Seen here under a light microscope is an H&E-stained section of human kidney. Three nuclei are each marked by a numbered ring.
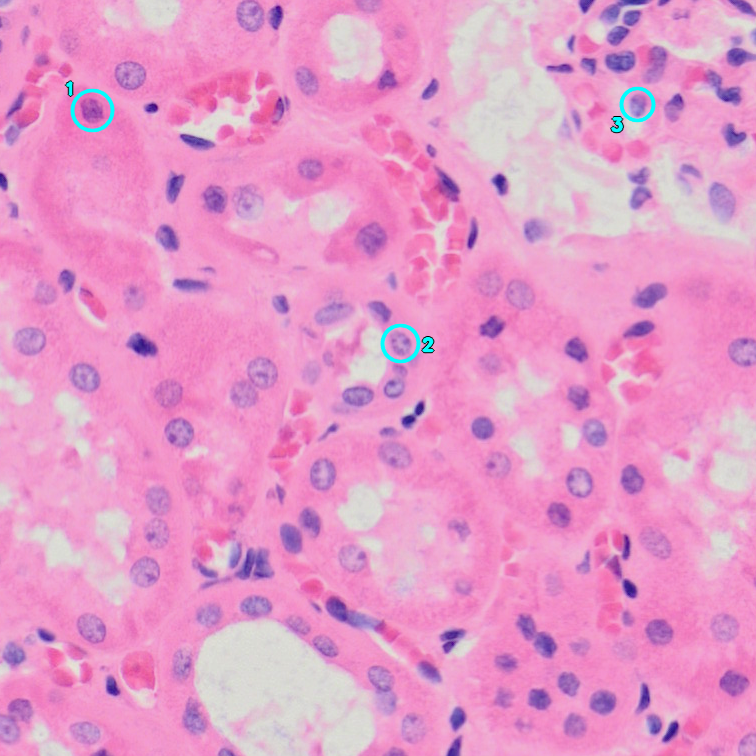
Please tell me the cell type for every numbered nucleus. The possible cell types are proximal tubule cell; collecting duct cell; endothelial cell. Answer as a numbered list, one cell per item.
1. proximal tubule cell
2. collecting duct cell
3. endothelial cell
